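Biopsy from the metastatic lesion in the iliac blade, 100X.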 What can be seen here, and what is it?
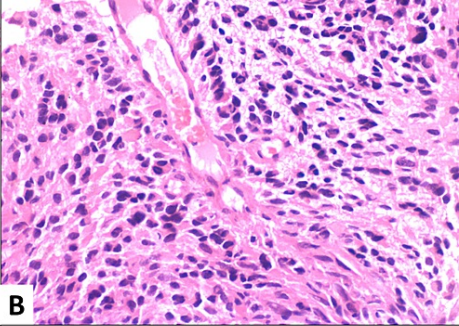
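This is a cellular tumor of spindled and oval cells with dark, elongated nuclei lying in a pink fibrillary background. A slender thin-walled blood vessel runs obliquely through the upper part of the field. The nuclei vary in size and some are darkly staining, and the cytoplasm is pale and poorly outlined.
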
